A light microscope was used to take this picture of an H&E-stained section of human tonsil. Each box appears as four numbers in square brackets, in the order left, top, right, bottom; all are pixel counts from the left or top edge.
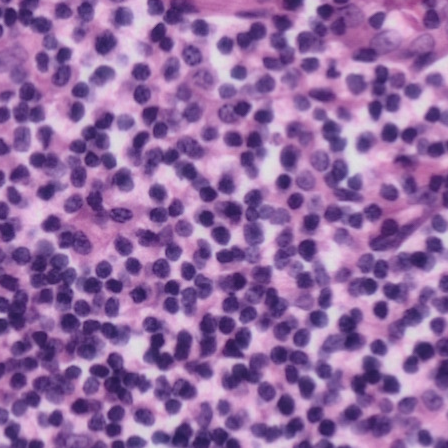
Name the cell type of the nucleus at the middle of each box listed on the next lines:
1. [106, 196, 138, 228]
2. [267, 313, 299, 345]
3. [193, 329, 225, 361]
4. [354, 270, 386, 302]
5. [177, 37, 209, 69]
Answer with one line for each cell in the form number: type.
1: plasma cell
2: small lymphocyte
3: small lymphocyte
4: small lymphocyte
5: plasma cell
